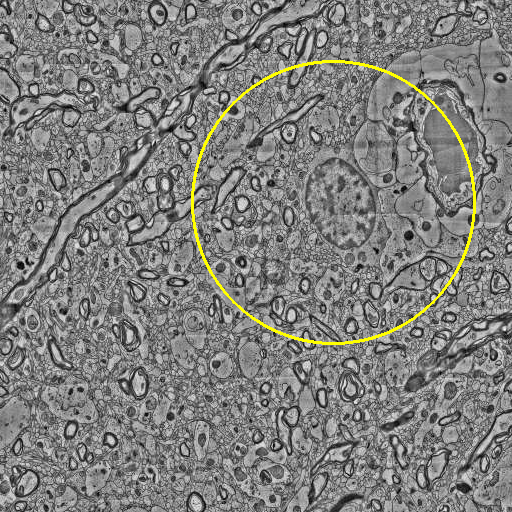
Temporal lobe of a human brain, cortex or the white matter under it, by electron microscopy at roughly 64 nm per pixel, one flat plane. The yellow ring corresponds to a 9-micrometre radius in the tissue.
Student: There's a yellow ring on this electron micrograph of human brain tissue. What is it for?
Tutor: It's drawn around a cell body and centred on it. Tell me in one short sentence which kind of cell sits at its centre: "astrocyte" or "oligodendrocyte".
The cell at the centre of the ring is an oligodendrocyte.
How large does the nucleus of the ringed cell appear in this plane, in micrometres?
Approximately 6 x 4 micrometres in this plane.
